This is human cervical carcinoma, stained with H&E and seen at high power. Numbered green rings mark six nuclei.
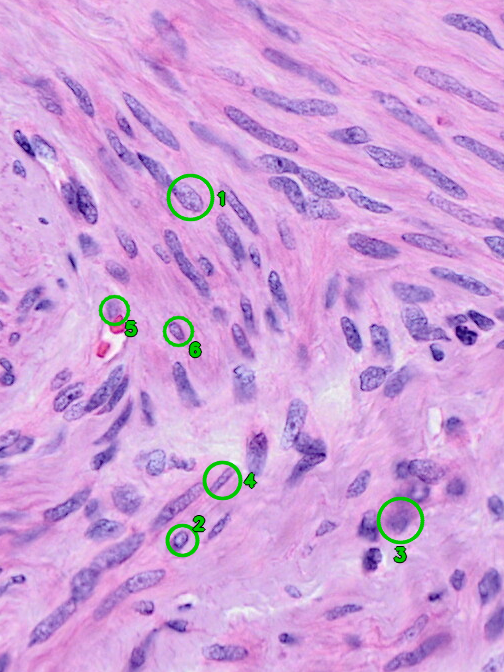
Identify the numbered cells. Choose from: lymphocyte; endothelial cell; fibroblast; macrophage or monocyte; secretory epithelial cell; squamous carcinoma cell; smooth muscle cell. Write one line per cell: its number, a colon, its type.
1: smooth muscle cell
2: smooth muscle cell
3: endothelial cell
4: smooth muscle cell
5: endothelial cell
6: smooth muscle cell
